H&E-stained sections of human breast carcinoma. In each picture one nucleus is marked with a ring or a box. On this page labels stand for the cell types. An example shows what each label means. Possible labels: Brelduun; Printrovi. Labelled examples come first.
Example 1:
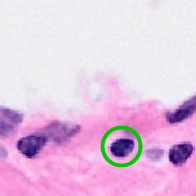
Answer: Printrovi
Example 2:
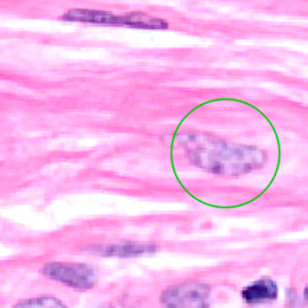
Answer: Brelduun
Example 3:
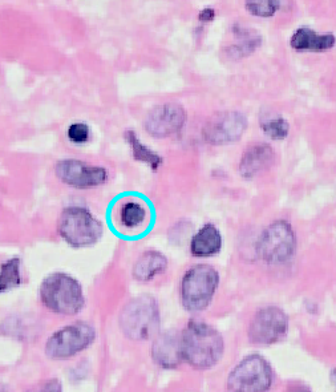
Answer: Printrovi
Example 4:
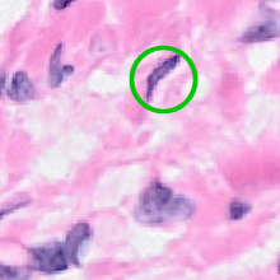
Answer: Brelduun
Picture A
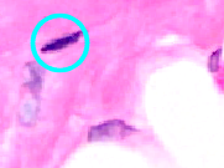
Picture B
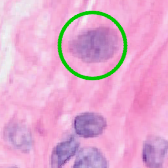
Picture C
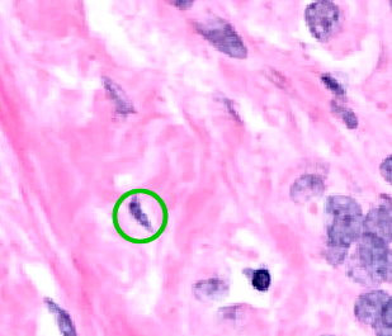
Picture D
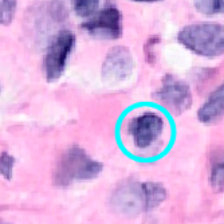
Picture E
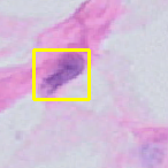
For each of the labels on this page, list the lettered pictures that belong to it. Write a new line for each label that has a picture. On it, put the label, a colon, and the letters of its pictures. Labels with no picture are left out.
Brelduun: A, B, C, E
Printrovi: D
